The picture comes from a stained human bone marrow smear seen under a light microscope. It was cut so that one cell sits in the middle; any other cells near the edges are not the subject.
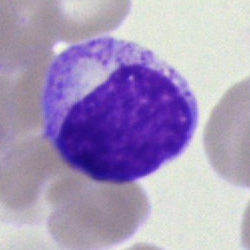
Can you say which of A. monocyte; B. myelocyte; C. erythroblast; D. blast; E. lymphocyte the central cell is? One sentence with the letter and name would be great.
Option B is correct here, and the cell in the middle is a myelocyte.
